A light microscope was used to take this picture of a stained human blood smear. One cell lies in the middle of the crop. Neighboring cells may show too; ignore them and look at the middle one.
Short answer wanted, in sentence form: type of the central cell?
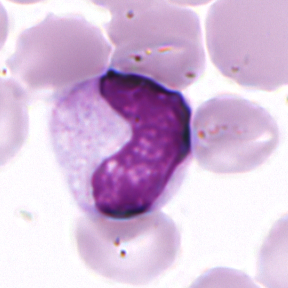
The middle of this crop holds a band neutrophil.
